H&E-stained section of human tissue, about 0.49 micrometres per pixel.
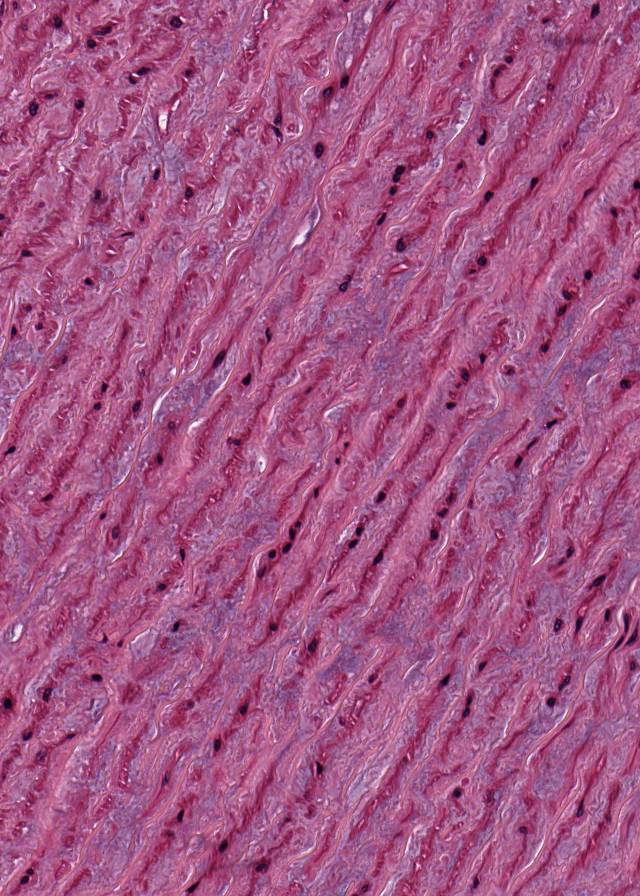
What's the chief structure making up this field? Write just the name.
tunica media of an artery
